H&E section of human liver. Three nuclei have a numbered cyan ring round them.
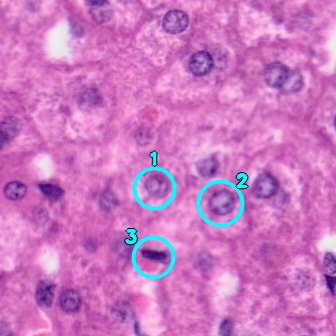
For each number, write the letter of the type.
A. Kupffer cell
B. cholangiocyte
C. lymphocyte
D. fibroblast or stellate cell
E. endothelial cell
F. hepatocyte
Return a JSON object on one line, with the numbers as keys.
{"1": "F", "2": "F", "3": "E"}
